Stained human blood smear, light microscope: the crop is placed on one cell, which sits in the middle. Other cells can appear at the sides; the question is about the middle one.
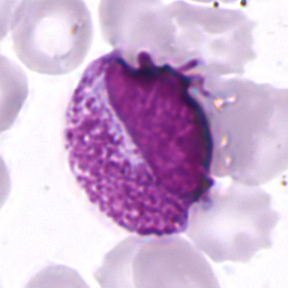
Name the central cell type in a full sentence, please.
In the central position of this crop, the cell is a myelocyte.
